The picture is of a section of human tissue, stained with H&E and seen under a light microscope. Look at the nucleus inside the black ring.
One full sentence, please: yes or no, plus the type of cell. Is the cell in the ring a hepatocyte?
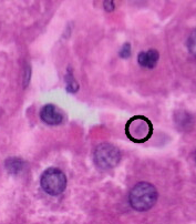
No, put down a Kupffer cell for the cell in the ring, not a hepatocyte.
